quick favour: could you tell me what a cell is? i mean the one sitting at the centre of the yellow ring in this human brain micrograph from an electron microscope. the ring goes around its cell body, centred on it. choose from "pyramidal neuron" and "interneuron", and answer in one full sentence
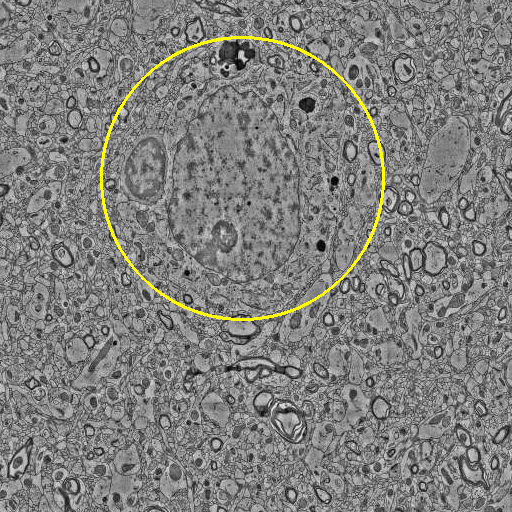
That's an interneuron, the cell sitting at the centre of the yellow ring.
